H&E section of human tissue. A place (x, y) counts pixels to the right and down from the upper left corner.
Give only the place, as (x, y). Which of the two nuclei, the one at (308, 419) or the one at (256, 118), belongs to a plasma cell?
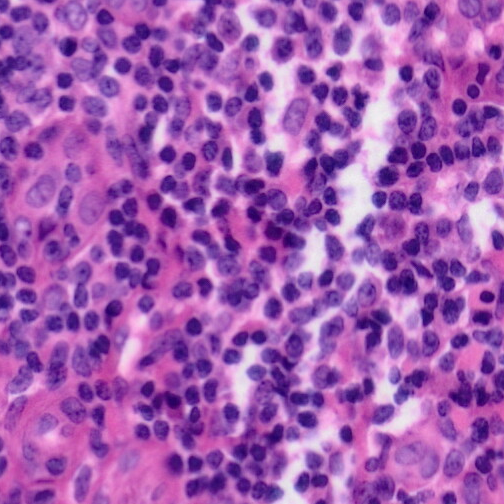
(256, 118)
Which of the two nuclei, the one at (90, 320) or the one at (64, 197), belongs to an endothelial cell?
(64, 197)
